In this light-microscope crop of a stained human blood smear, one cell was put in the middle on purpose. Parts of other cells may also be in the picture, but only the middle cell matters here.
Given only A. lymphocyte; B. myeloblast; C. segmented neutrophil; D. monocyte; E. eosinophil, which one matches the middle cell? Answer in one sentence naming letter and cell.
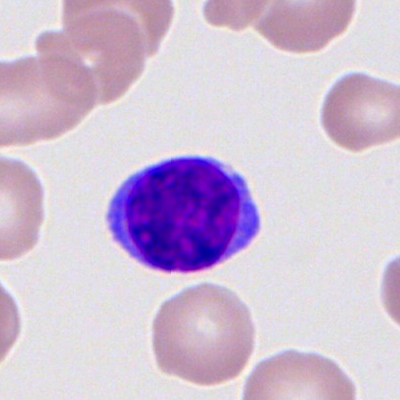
The correct choice is option A, which identifies the middle cell as a lymphocyte.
